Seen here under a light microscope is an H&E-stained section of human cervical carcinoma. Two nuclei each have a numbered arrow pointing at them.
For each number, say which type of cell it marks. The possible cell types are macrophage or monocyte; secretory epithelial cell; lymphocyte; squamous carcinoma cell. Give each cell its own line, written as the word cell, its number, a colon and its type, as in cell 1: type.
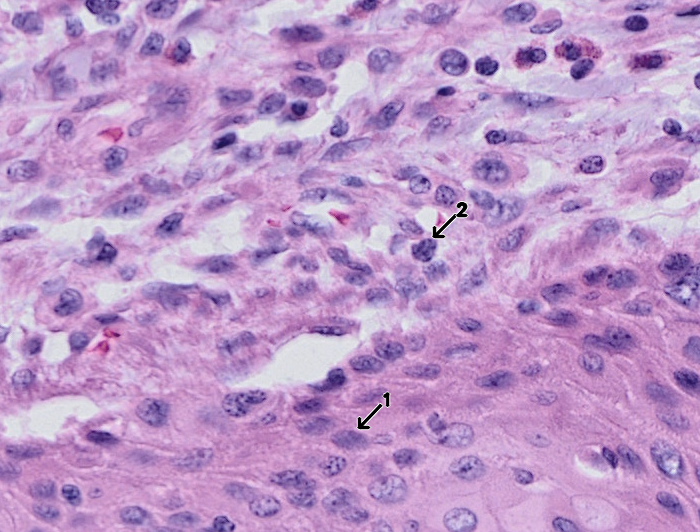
cell 1: squamous carcinoma cell
cell 2: lymphocyte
